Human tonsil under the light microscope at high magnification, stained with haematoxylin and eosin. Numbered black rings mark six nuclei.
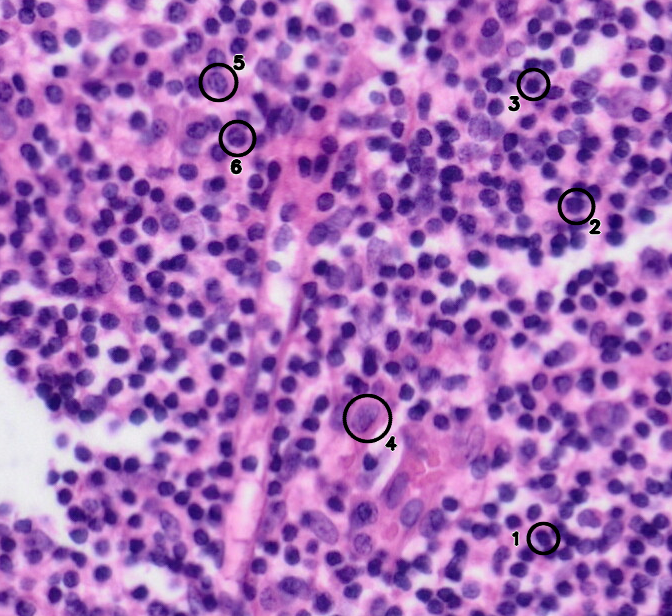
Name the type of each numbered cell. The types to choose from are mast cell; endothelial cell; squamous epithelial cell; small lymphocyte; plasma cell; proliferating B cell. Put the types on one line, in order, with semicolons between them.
small lymphocyte; small lymphocyte; small lymphocyte; endothelial cell; plasma cell; plasma cell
